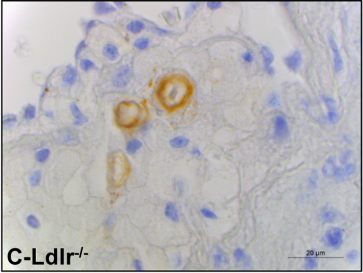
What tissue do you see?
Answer: Atherosclerotic lesions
